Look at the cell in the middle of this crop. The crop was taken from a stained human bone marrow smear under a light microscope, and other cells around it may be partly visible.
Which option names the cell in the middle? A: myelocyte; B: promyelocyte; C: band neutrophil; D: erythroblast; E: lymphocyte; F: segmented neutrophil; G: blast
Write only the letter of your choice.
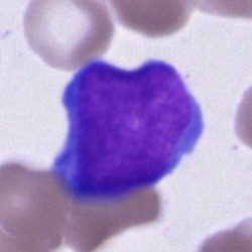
G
